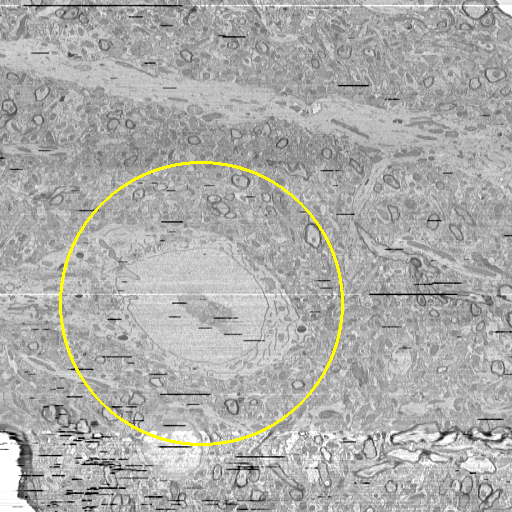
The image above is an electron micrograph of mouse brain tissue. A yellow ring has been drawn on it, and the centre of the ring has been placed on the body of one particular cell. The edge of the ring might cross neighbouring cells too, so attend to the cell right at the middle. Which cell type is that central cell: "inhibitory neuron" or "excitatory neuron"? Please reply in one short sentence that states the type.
The central cell in the ring is an excitatory neuron.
